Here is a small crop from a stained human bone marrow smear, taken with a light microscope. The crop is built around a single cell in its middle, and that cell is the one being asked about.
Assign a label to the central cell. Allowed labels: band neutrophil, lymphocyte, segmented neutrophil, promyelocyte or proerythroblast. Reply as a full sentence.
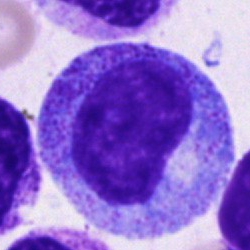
By classification, the middle cell of this crop is a promyelocyte.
